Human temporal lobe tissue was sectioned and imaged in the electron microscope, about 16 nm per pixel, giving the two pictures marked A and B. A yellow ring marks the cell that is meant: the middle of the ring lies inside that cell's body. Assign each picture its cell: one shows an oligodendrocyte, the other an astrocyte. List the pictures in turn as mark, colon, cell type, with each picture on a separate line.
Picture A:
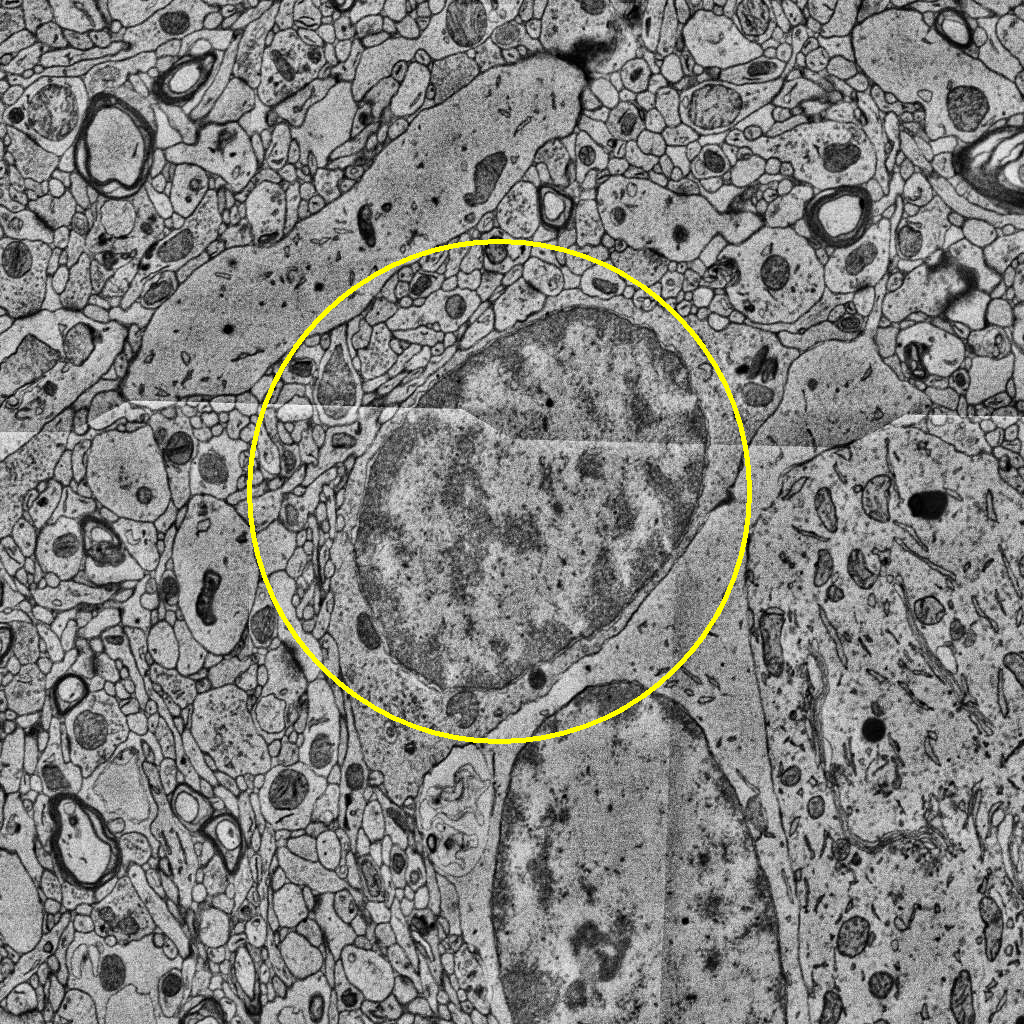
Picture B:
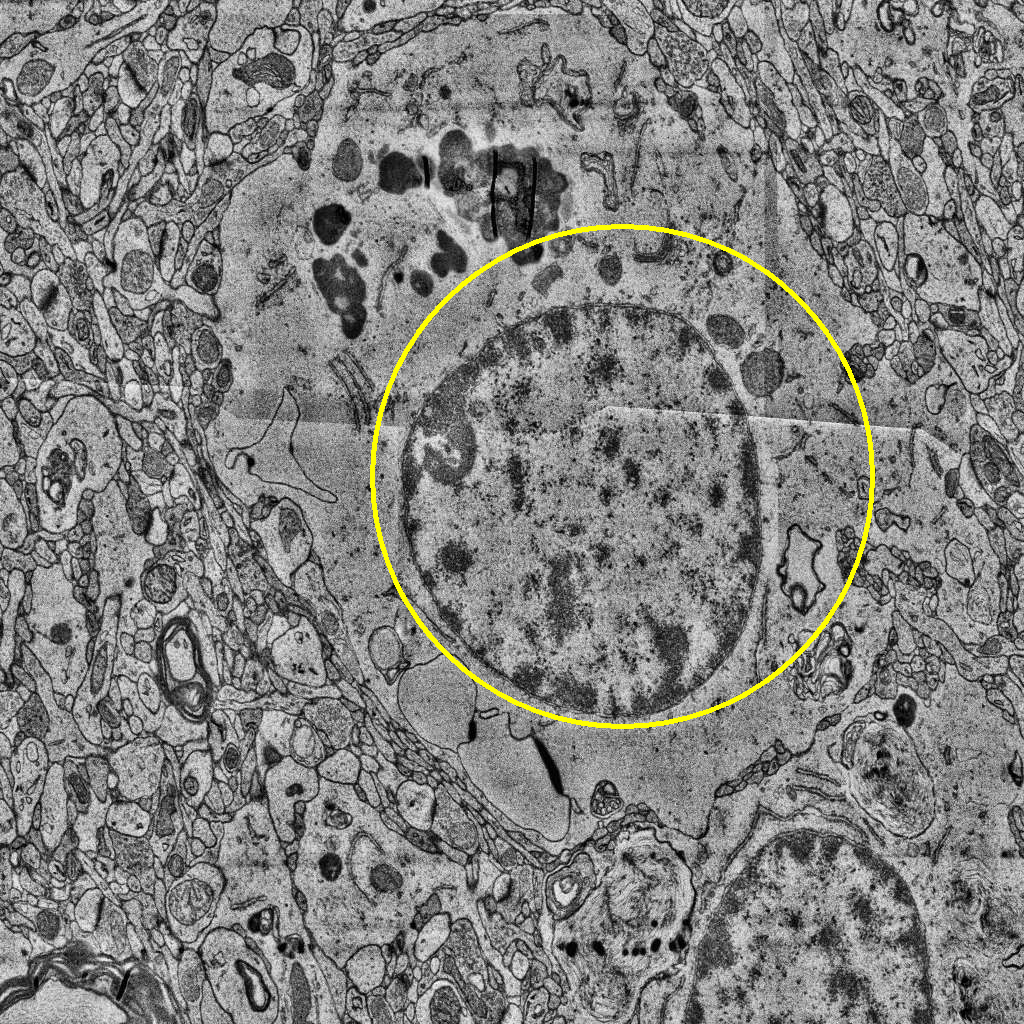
A: oligodendrocyte
B: astrocyte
